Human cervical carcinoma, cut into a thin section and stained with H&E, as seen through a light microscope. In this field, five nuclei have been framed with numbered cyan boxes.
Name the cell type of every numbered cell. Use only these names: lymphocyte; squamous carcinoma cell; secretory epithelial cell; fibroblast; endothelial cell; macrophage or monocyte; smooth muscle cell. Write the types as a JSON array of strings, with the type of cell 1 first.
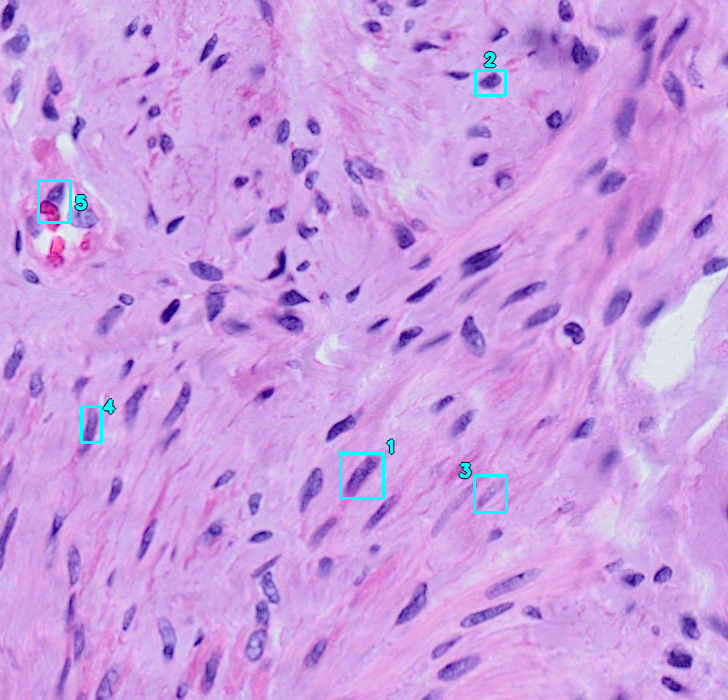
["smooth muscle cell", "fibroblast", "smooth muscle cell", "smooth muscle cell", "endothelial cell"]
